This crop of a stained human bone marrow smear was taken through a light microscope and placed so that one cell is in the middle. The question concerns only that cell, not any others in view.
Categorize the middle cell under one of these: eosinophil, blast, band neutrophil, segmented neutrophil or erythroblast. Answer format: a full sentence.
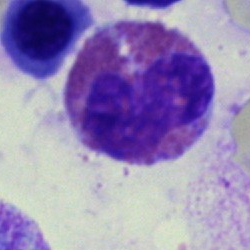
The middle cell in this particular crop is an eosinophil.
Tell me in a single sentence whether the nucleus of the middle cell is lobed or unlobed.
What stands out is the nucleus, split into two or more lobes.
